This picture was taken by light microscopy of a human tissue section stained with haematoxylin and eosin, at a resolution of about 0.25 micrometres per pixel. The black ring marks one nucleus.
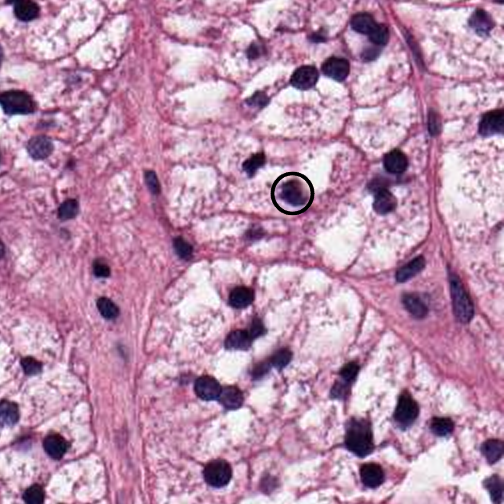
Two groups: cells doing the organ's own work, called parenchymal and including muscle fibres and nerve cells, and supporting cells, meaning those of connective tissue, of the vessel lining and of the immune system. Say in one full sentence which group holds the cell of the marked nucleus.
A parenchymal cell holds the marked nucleus, and that cell is an adrenal cortical cell.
